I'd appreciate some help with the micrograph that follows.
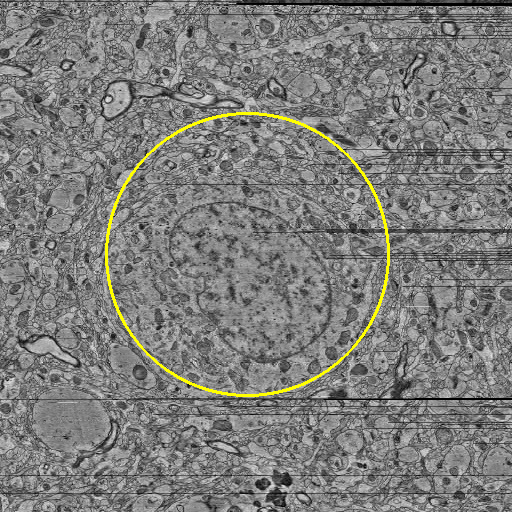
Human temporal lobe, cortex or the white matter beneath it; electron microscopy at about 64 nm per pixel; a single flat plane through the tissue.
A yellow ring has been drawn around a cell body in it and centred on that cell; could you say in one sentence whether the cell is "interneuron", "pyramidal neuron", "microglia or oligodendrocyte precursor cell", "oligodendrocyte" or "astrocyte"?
It is an interneuron at the centre of the ring.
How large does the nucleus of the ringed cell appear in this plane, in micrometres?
Roughly 12 micrometres by 9 micrometres, in this plane.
